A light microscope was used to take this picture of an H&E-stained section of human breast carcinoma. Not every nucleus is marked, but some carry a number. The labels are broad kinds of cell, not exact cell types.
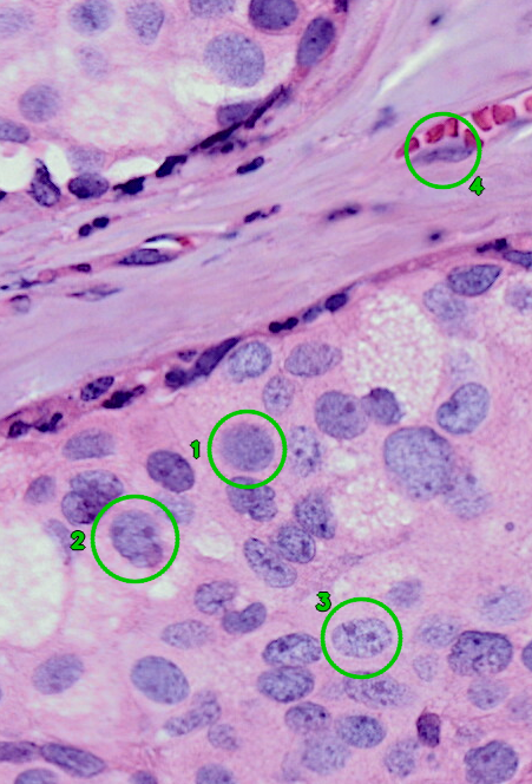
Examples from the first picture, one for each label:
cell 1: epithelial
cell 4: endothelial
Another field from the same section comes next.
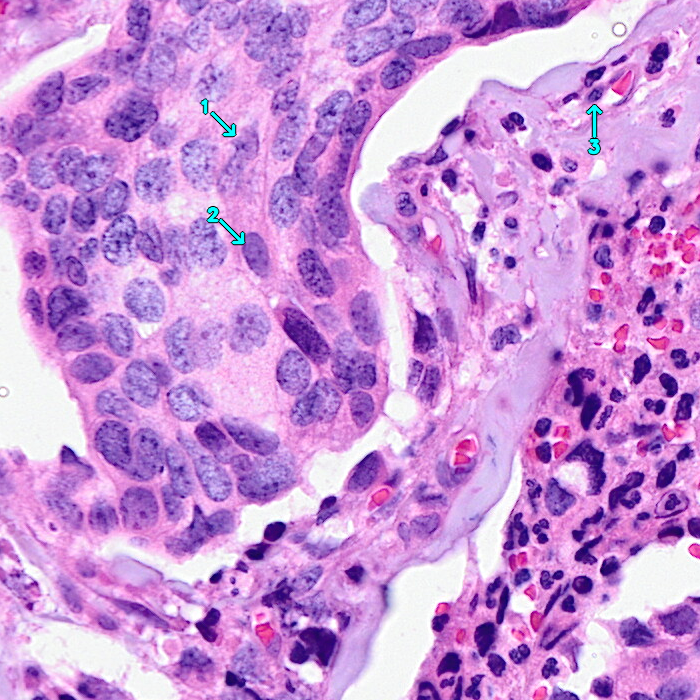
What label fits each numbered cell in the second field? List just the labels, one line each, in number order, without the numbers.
epithelial
epithelial
endothelial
